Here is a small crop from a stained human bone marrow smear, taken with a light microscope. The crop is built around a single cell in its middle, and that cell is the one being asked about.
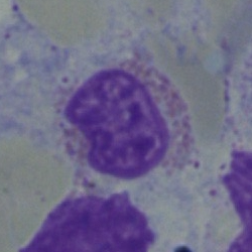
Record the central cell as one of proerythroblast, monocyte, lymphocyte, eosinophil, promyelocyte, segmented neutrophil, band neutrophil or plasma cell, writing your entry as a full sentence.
The cell shown in the center of this light-microscope crop is an eosinophil.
